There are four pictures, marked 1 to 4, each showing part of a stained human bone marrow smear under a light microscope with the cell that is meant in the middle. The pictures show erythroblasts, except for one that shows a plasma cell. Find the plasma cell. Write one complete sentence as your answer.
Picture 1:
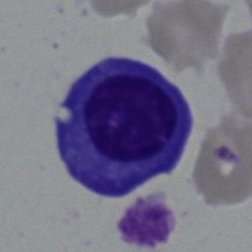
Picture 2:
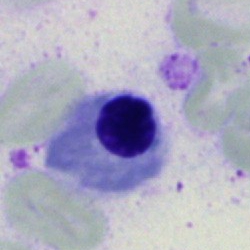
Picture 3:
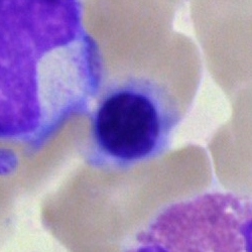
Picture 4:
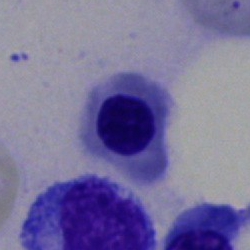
Picture 1 shows the plasma cell.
